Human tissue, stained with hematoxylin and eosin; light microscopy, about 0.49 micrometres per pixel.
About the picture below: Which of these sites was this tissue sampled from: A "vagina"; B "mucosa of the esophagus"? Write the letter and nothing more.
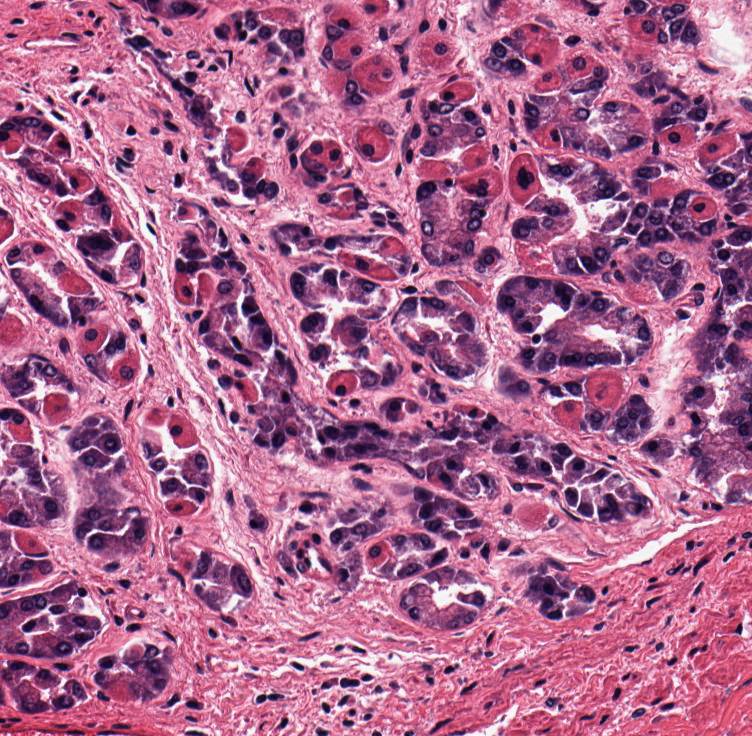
B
